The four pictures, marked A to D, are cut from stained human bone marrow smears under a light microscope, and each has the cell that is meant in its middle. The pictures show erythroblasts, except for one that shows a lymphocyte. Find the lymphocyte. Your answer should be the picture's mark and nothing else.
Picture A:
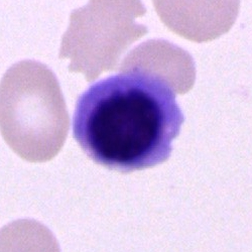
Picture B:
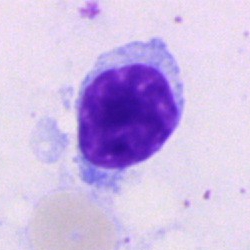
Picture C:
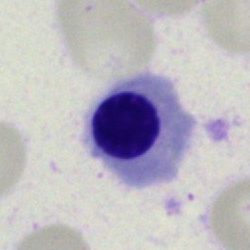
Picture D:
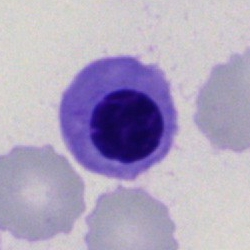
B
